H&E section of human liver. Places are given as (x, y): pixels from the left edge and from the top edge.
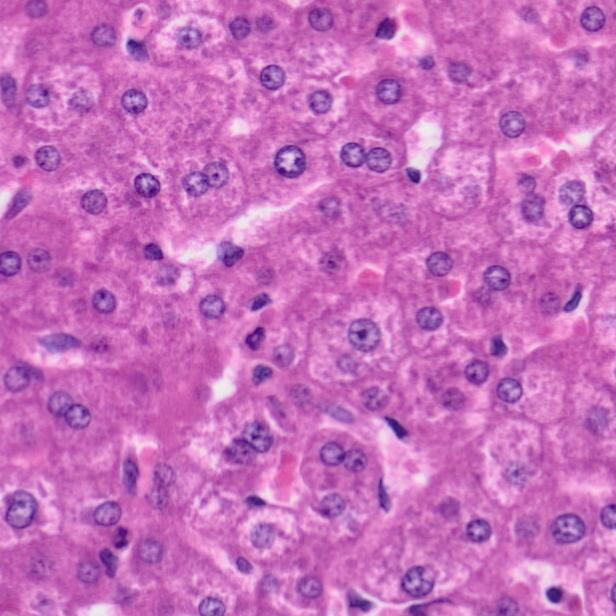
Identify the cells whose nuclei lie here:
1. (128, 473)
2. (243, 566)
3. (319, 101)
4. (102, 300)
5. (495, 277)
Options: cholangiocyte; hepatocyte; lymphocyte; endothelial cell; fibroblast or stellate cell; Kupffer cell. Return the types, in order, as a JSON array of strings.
["Kupffer cell", "Kupffer cell", "hepatocyte", "hepatocyte", "hepatocyte"]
